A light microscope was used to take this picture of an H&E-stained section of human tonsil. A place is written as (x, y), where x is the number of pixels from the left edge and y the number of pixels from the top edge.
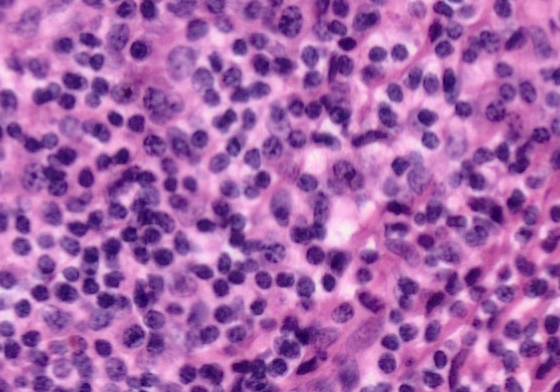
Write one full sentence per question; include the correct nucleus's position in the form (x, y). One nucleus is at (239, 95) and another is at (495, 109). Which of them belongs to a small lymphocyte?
Between the pair, the nucleus at (239, 95) belongs to a small lymphocyte.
